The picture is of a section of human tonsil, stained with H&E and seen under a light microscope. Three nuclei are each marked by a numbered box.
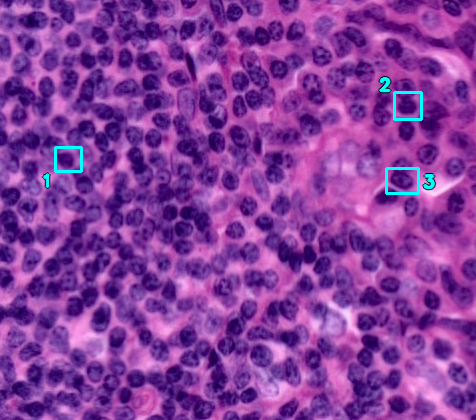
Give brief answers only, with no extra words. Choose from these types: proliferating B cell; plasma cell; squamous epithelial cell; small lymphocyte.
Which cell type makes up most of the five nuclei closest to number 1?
small lymphocyte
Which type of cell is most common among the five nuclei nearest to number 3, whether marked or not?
plasma cell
